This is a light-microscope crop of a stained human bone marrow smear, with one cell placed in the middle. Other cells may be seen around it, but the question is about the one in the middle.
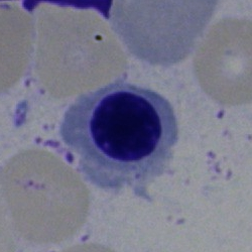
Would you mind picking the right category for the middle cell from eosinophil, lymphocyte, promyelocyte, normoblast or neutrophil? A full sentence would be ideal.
Whatever else lies nearby, the middle cell is a normoblast.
